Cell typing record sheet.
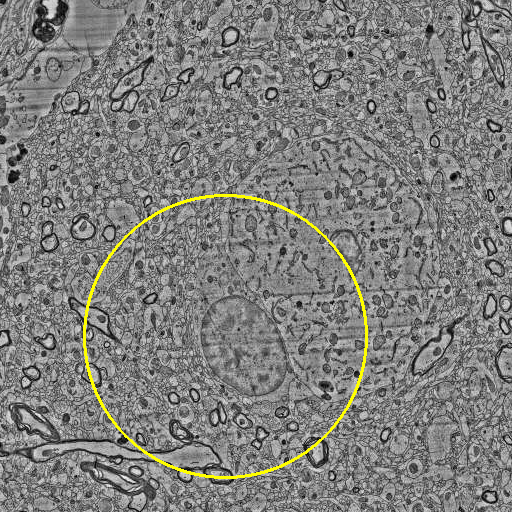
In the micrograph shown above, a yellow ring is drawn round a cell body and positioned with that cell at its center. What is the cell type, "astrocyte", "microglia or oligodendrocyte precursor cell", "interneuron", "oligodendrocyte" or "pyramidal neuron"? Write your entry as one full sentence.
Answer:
The cell body at the center of the ring belongs to an oligodendrocyte.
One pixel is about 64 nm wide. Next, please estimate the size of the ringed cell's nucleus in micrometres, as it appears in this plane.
Approximately 7 micrometres long and 5 micrometres wide, in this plane.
